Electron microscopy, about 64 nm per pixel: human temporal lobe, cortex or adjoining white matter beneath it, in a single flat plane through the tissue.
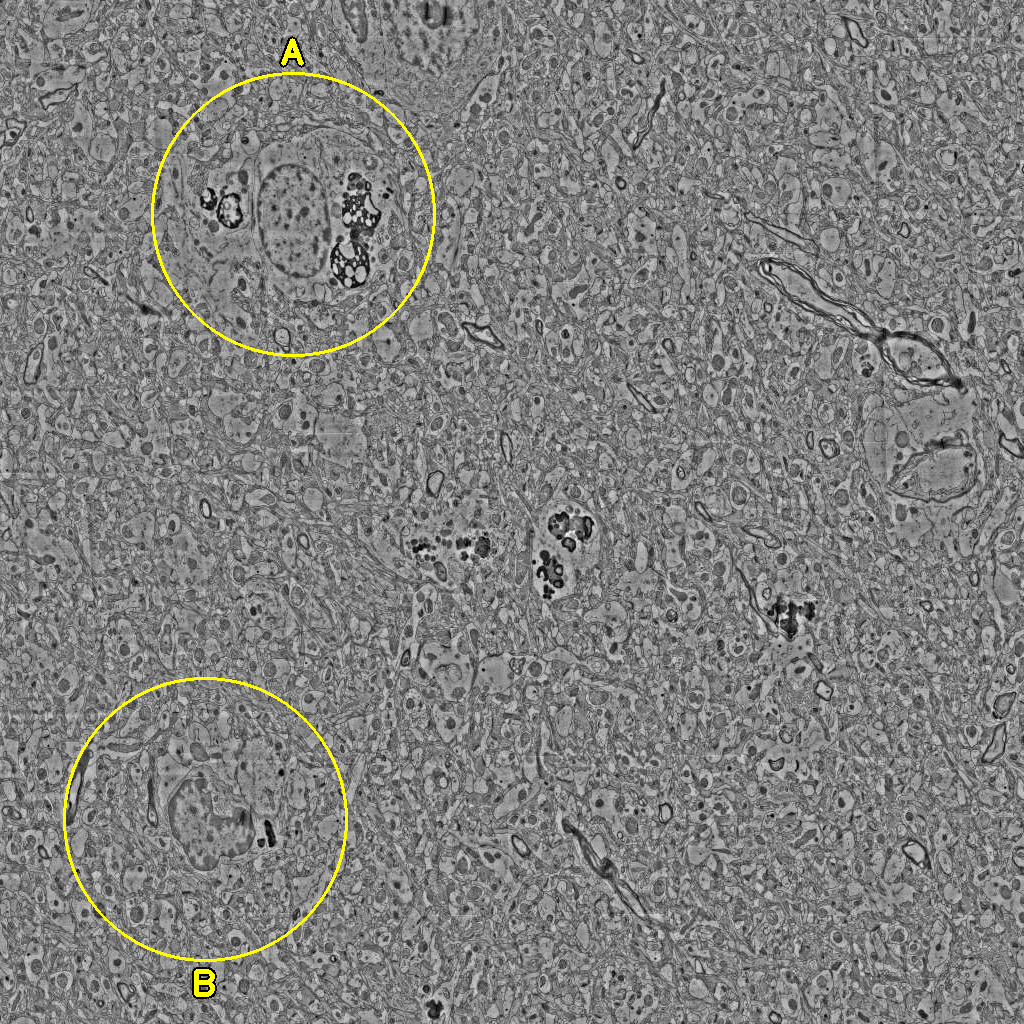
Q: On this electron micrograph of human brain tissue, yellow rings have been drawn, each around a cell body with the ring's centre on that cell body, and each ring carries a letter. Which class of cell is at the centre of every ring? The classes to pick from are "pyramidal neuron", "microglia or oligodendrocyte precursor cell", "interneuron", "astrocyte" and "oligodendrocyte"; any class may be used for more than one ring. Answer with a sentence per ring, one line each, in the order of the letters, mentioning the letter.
The centre of ring A is occupied by an astrocyte.
The centre of ring B is occupied by a microglial cell or oligodendrocyte precursor cell.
